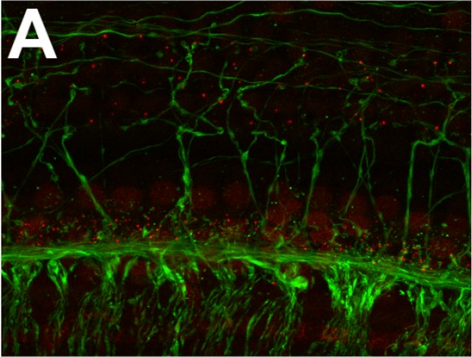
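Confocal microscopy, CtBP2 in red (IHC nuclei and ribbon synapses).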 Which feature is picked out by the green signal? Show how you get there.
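Green threads are long, slender and branching with small varicosities. So: nerve fibres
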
